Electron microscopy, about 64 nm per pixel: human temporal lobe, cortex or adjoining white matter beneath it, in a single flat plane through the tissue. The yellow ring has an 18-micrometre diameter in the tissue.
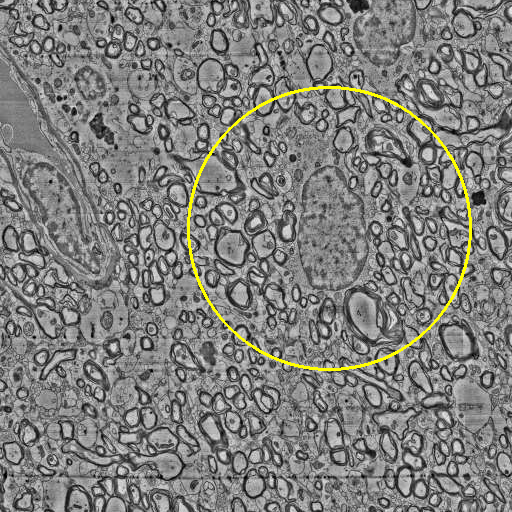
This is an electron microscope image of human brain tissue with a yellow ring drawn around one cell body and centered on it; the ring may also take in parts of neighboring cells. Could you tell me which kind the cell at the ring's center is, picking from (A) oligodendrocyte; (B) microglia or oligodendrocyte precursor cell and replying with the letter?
A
